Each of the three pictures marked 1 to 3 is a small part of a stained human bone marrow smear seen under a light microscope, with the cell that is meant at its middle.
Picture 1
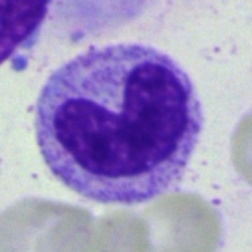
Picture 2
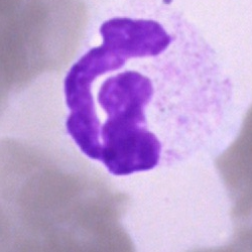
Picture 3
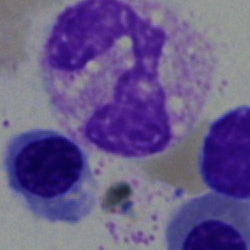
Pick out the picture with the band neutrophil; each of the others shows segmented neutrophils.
1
